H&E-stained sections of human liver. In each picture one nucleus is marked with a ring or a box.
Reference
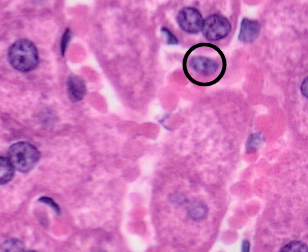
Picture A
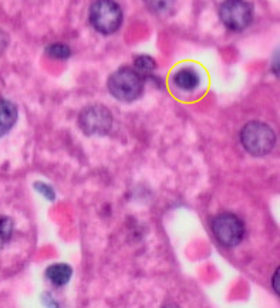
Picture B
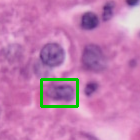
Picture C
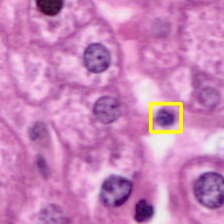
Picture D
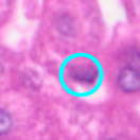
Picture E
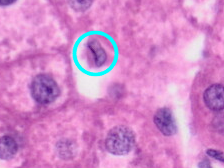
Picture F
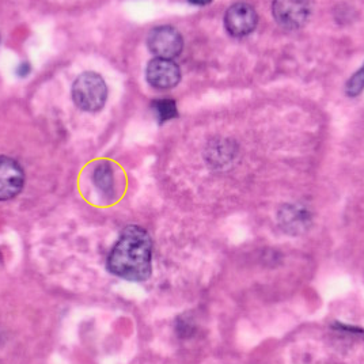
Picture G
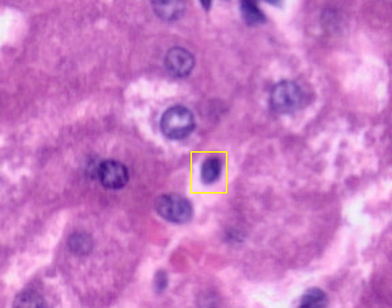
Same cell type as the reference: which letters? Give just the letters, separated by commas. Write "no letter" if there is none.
B, D, E, F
